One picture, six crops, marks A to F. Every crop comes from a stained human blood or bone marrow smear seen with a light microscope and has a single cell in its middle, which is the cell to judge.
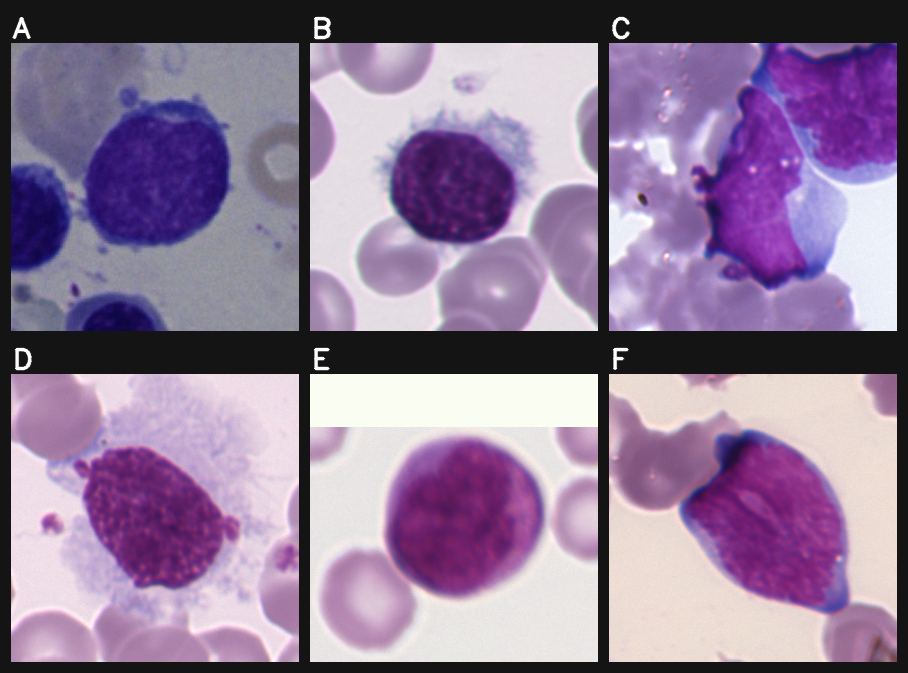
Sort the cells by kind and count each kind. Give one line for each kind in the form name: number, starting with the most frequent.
blast: 4
hairy cell: 2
